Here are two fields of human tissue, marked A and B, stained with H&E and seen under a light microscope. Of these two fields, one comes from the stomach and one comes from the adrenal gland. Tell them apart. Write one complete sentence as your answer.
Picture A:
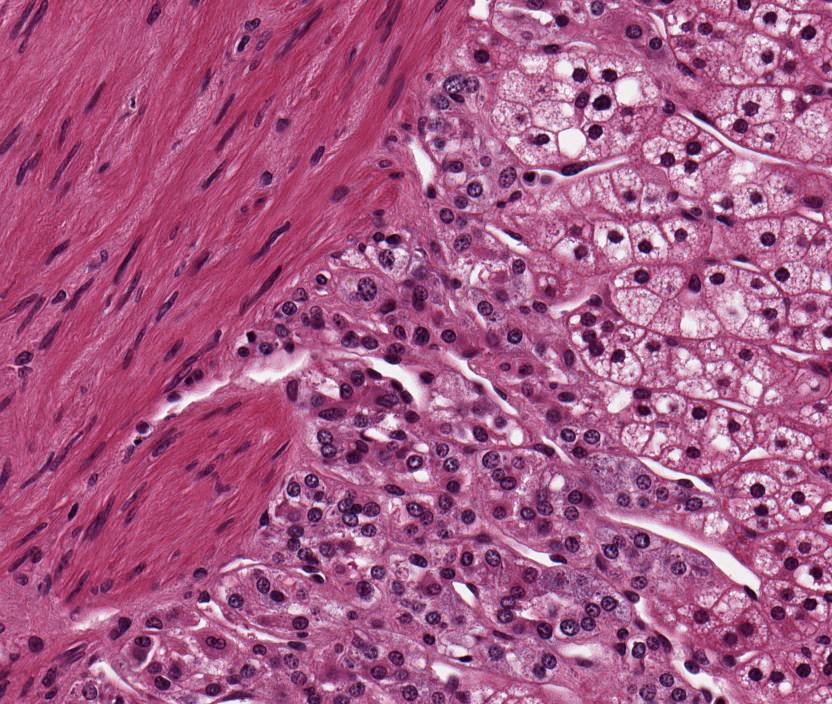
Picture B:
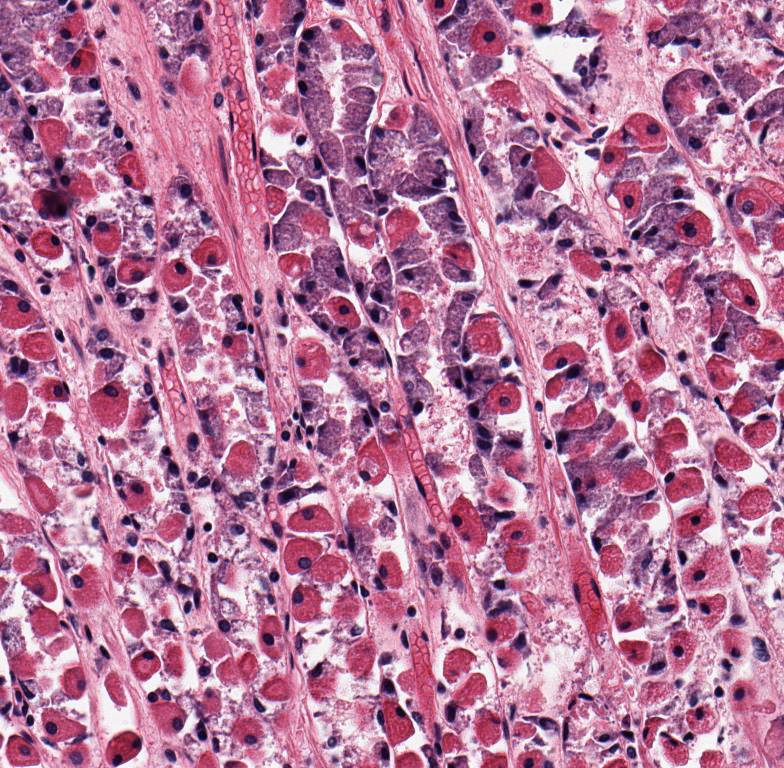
It is picture A that comes from the adrenal gland, and picture B that comes from the stomach.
